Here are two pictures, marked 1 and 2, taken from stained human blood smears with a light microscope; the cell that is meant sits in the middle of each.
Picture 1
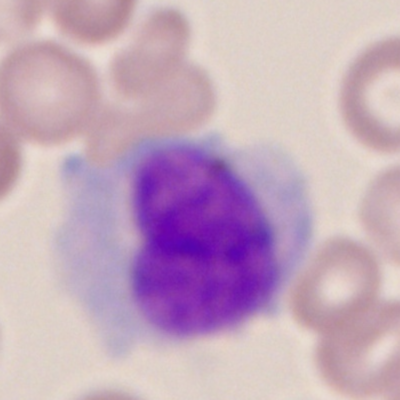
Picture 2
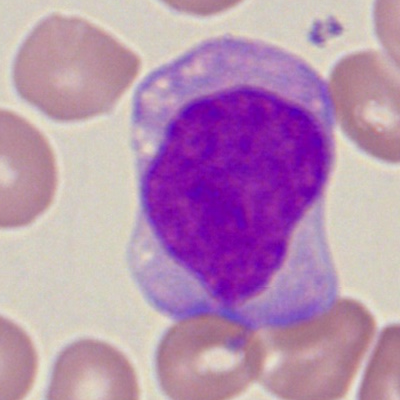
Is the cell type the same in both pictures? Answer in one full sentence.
Yes, the two pictures both show monocytes.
